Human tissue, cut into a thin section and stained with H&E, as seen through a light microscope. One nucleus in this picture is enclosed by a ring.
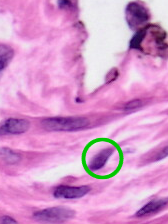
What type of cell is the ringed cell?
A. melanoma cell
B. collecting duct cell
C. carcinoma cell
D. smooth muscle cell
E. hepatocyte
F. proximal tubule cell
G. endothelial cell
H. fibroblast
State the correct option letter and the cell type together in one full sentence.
Option H is correct in that the ringed cell is a fibroblast.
